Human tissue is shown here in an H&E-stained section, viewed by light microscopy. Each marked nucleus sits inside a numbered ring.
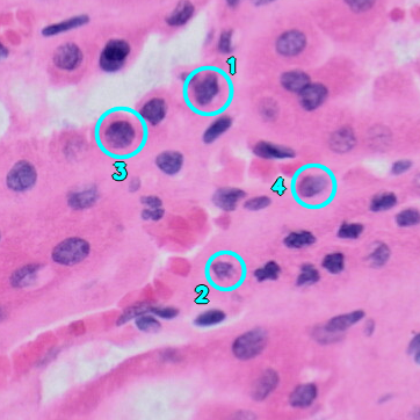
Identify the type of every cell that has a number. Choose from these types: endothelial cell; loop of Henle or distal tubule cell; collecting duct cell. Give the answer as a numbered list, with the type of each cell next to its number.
1. loop of Henle or distal tubule cell
2. loop of Henle or distal tubule cell
3. loop of Henle or distal tubule cell
4. endothelial cell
